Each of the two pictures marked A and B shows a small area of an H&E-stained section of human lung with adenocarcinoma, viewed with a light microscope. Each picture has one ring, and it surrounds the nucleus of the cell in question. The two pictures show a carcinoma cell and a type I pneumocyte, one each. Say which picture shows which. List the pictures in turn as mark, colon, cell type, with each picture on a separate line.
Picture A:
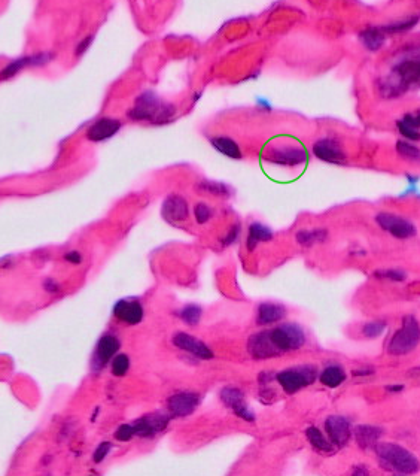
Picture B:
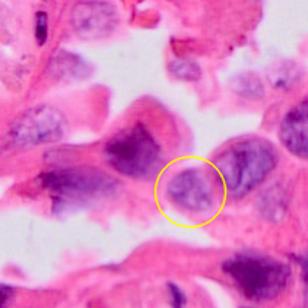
A: type I pneumocyte
B: carcinoma cell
